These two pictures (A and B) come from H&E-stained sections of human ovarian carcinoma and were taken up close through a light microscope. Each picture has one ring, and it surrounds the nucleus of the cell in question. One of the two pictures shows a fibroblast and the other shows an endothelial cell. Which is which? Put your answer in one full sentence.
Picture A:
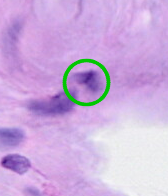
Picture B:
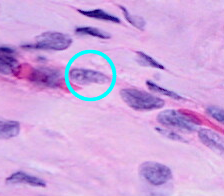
Picture A is of a fibroblast, and picture B is of an endothelial cell.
